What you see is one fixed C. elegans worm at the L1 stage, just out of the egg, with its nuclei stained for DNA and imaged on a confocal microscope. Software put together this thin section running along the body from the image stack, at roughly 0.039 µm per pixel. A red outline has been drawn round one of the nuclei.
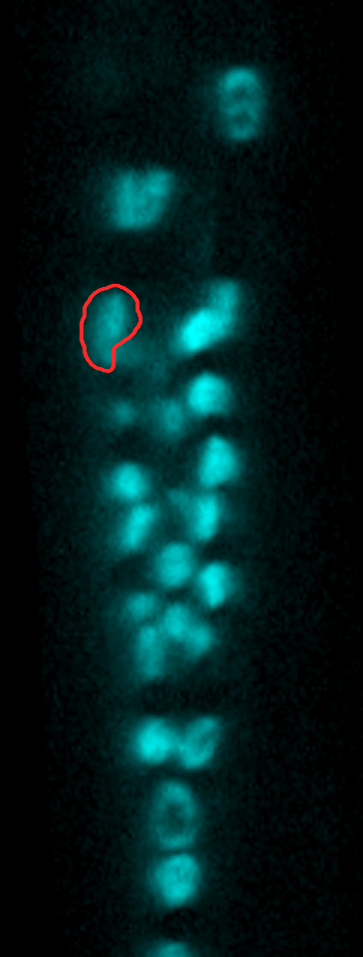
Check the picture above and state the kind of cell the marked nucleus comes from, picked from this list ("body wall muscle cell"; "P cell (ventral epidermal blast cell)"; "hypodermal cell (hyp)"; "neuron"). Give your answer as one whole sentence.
The marked nucleus belongs to a P cell (ventral epidermal blast cell).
